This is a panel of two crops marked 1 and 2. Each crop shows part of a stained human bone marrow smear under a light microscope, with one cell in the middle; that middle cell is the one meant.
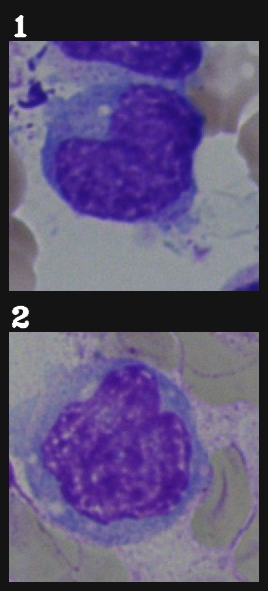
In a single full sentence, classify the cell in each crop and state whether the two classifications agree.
Yes, the pair of crops both show monocytes.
